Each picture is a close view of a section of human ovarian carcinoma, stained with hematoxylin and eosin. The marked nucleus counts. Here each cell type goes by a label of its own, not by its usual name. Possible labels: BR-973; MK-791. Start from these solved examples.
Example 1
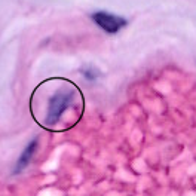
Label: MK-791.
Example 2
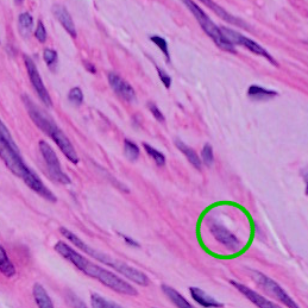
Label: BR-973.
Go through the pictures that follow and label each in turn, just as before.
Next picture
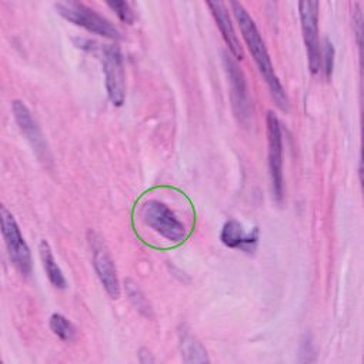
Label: BR-973.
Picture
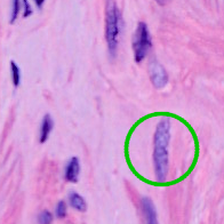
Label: BR-973.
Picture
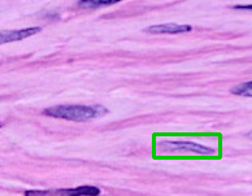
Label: BR-973.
